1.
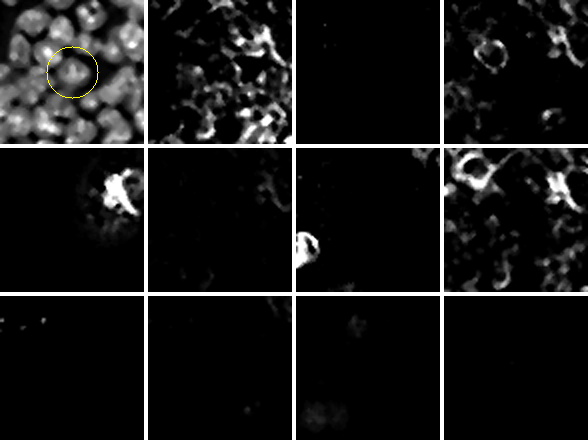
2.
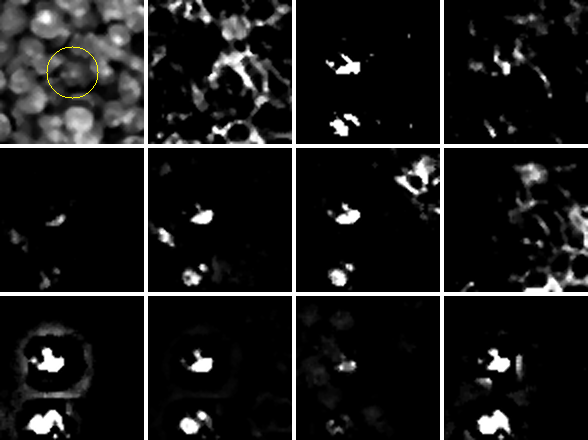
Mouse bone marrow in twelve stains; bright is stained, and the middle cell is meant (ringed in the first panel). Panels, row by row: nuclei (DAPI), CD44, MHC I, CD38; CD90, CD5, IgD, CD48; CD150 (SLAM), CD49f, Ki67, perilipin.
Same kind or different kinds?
Same: neutrophils.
